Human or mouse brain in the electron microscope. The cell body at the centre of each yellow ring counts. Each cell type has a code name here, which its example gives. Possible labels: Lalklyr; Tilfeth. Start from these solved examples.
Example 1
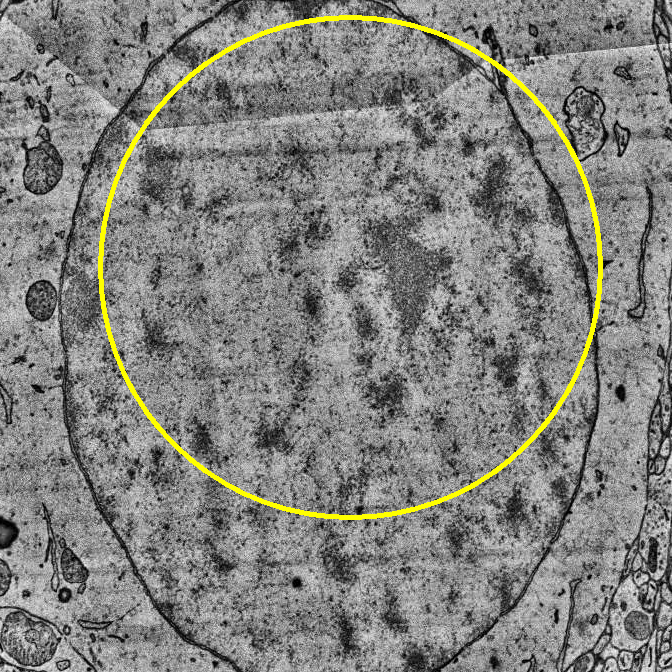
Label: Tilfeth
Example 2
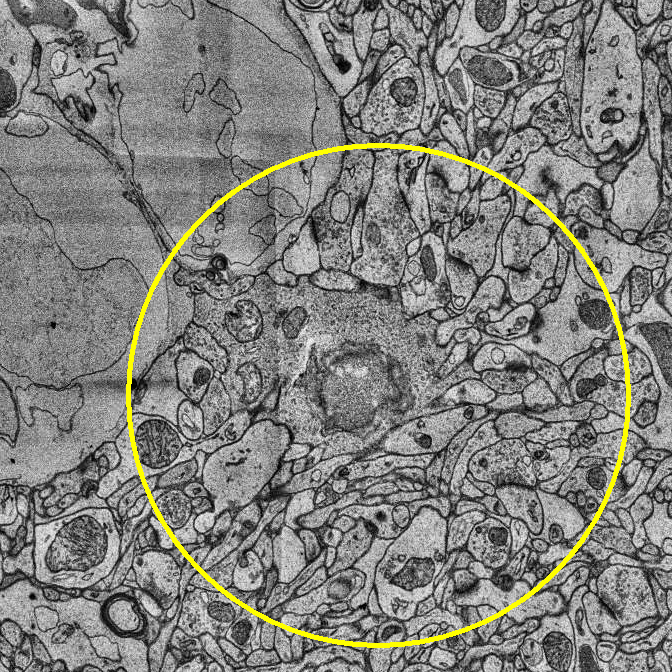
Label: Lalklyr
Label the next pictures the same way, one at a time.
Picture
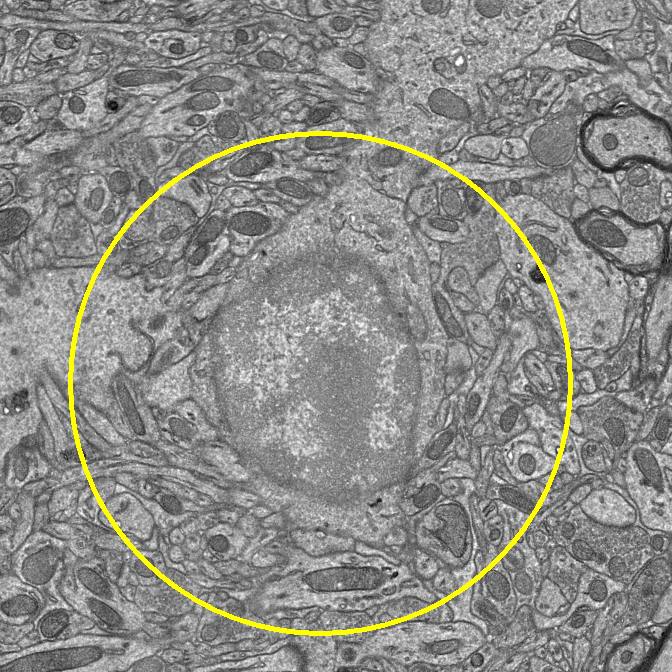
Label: Lalklyr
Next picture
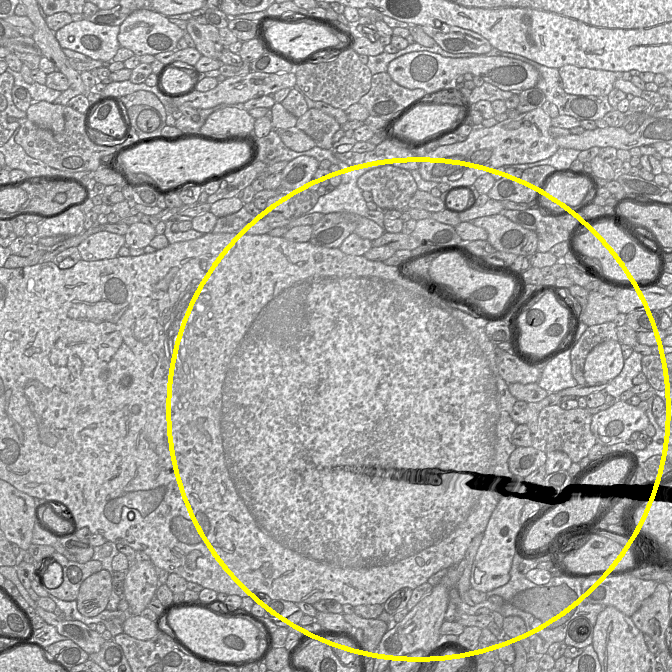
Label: Lalklyr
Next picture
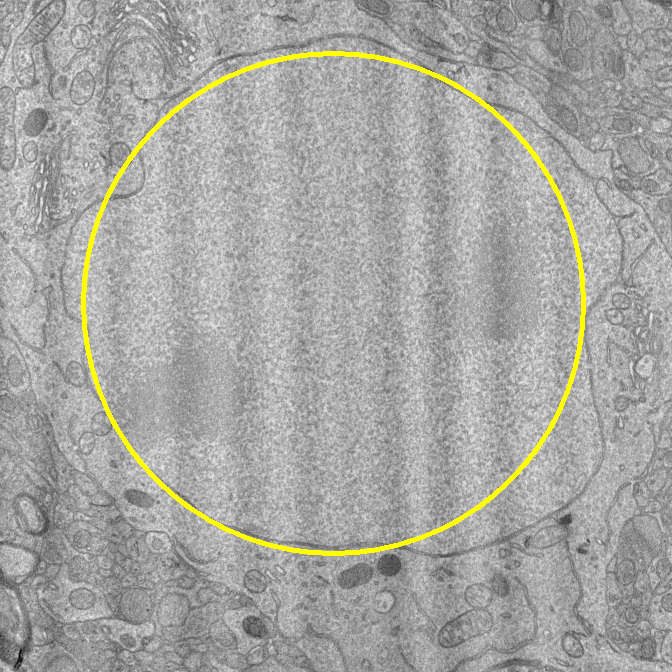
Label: Tilfeth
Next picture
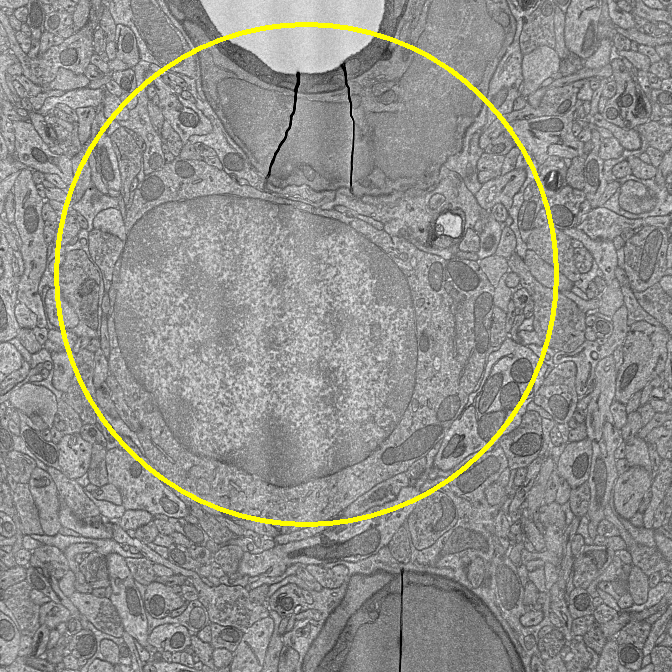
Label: Lalklyr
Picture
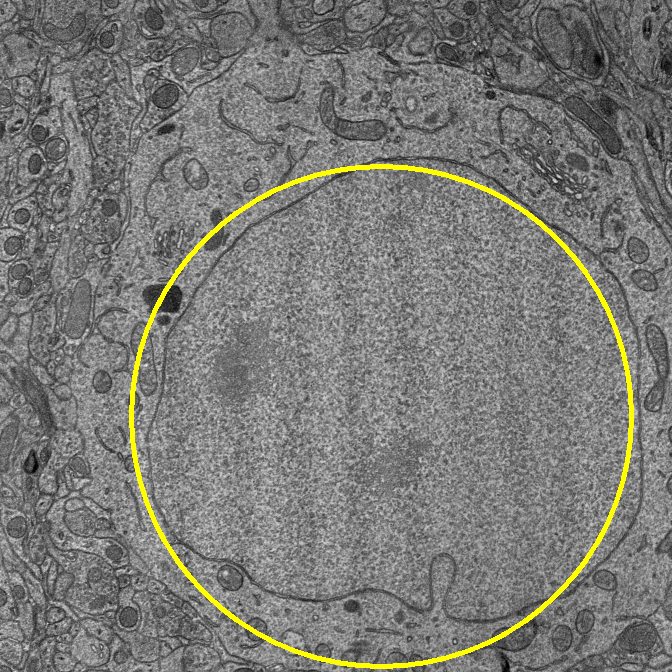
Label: Tilfeth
